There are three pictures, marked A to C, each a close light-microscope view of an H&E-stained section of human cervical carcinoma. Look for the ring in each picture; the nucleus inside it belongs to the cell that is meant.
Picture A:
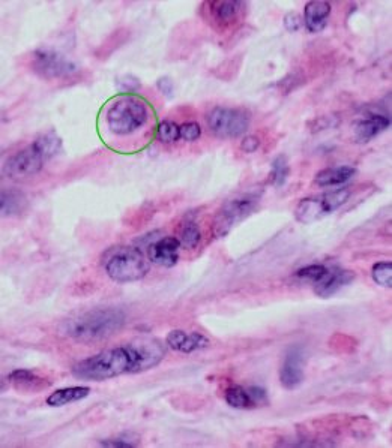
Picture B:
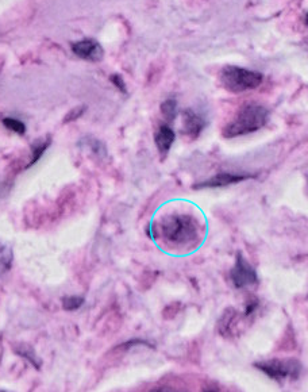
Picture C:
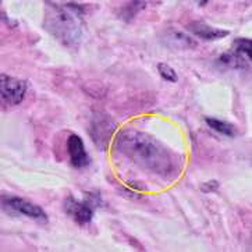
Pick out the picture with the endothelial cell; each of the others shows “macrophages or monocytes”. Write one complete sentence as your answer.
The picture with the endothelial cell is C.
